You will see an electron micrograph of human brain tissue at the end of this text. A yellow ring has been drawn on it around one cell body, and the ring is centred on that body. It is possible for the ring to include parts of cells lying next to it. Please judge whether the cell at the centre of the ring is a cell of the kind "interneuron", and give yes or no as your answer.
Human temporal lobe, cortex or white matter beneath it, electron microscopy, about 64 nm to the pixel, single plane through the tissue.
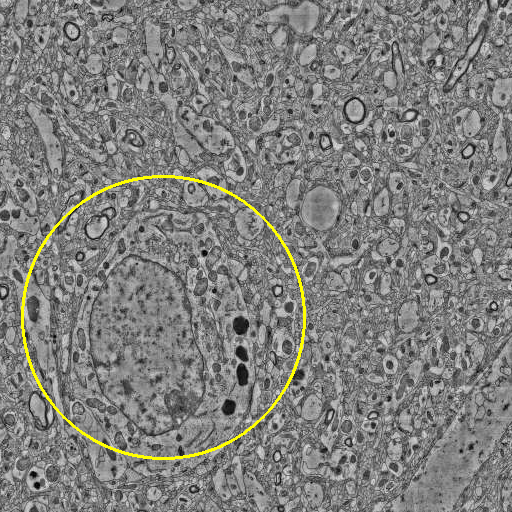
yes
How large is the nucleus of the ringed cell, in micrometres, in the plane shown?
In this plane, approximately 12 by 7 micrometers, and clearly longer than it is wide.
